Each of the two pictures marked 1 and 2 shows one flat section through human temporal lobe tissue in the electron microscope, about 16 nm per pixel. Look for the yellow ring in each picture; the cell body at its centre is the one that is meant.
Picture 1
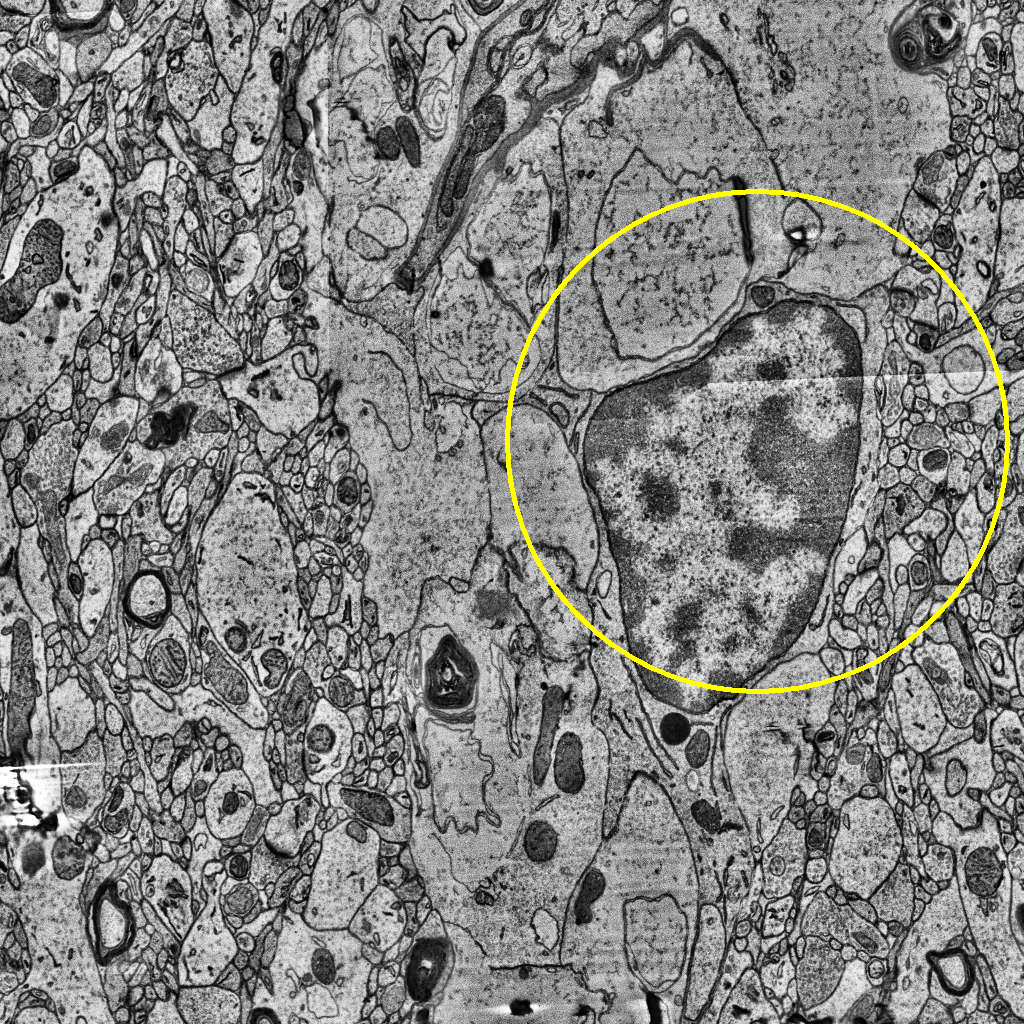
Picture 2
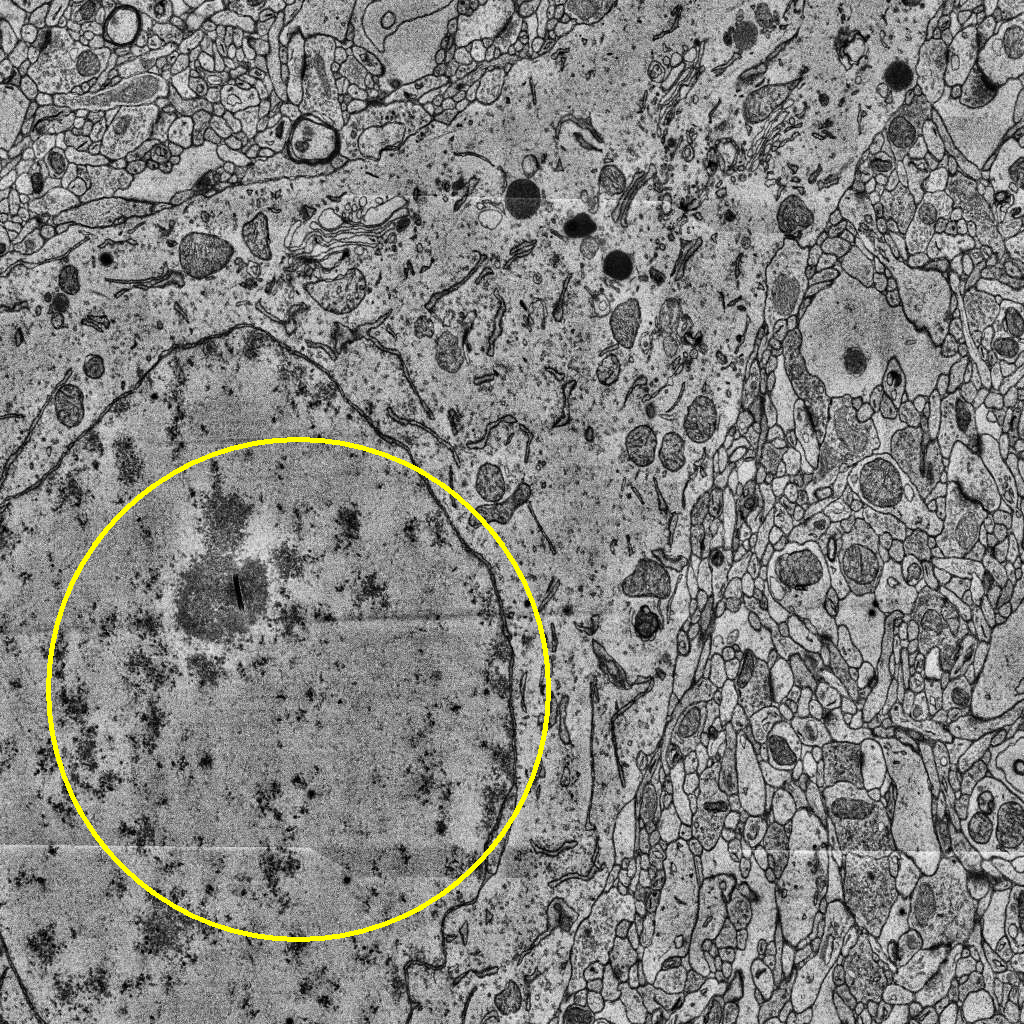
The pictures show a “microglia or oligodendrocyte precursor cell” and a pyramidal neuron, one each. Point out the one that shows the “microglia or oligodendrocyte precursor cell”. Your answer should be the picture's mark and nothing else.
1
